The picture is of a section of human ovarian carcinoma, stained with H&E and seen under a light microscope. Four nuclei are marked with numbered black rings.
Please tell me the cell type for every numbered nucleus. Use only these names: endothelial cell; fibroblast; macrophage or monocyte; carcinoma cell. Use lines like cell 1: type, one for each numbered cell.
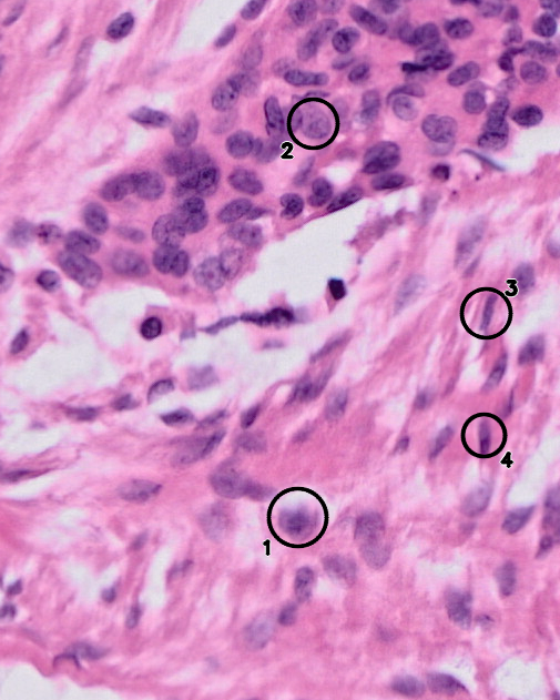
cell 1: fibroblast
cell 2: carcinoma cell
cell 3: fibroblast
cell 4: fibroblast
